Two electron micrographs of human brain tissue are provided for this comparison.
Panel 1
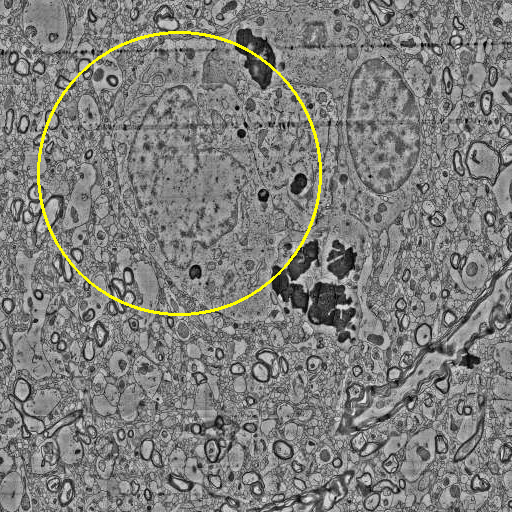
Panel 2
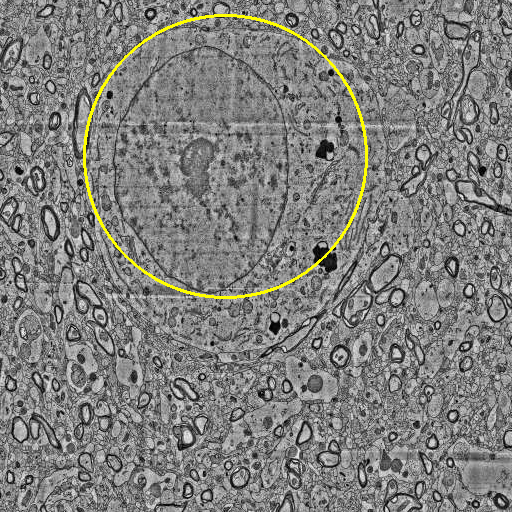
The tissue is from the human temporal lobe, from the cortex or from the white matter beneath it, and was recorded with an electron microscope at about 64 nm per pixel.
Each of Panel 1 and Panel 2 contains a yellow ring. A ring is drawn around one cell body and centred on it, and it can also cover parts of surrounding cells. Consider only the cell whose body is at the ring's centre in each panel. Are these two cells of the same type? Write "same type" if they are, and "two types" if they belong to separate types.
two types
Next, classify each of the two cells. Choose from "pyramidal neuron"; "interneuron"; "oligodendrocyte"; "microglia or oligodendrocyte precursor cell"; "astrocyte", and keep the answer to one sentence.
In the first picture it is an interneuron; in the second it is a pyramidal neuron.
